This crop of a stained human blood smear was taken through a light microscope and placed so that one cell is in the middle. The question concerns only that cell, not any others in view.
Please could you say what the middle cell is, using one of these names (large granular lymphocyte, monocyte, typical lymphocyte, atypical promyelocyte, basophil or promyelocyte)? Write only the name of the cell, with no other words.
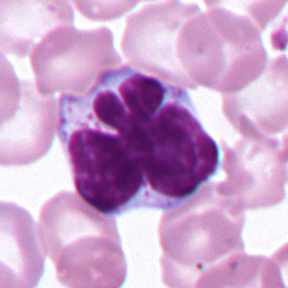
large granular lymphocyte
